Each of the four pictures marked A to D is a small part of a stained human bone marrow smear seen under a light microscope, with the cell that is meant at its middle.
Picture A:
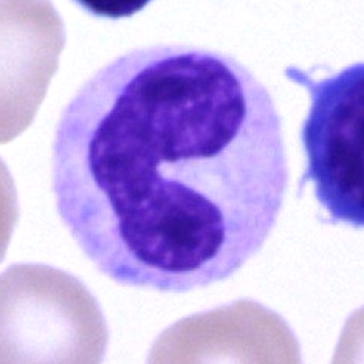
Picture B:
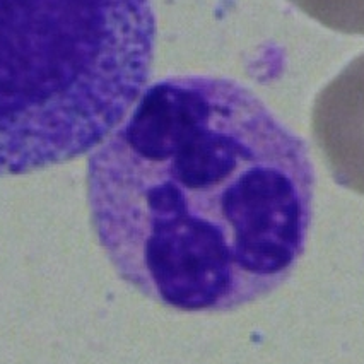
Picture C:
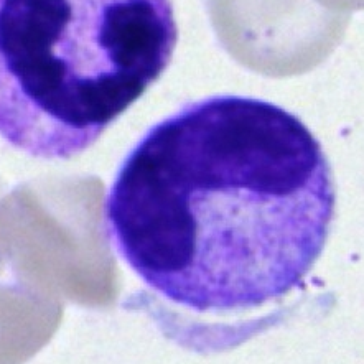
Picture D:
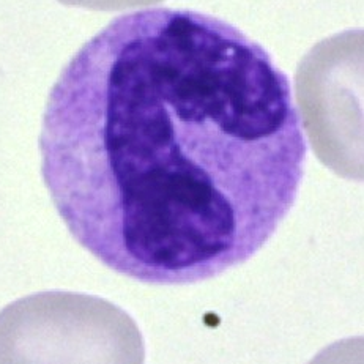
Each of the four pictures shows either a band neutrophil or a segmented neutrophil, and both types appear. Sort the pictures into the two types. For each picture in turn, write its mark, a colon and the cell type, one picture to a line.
A: band neutrophil
B: segmented neutrophil
C: band neutrophil
D: segmented neutrophil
